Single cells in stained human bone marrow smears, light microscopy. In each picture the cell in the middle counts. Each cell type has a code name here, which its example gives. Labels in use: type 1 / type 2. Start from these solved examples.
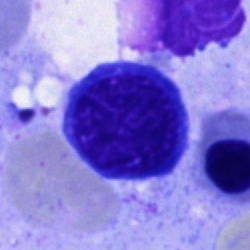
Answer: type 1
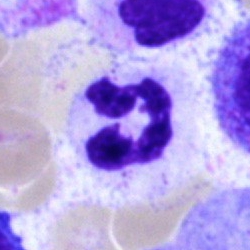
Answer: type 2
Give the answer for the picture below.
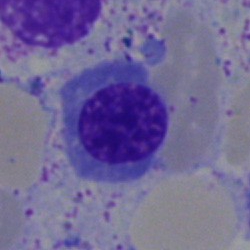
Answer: type 1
